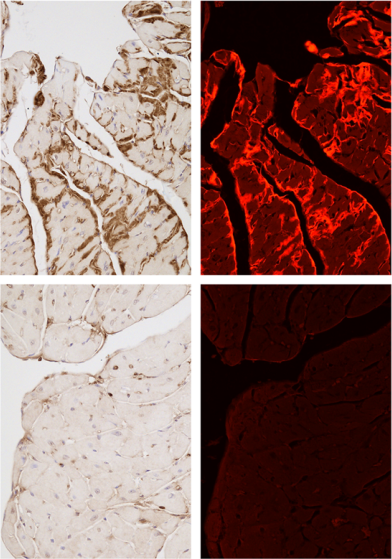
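Heart muscle, cardiac myocytes cut mostly across and obliquely, with small pale-blue nuclei. In the upper pair, brown stain runs in a network between the myocytes, outlining fibres and bundles, and the red image shows bright red material in the same interstitial pattern, with dark clefts between muscle bundles. In the lower pair the myocytes are pale, brown stain is faint and confined to thin lines and small vessels, and the red image is dim and even without bright deposits.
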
